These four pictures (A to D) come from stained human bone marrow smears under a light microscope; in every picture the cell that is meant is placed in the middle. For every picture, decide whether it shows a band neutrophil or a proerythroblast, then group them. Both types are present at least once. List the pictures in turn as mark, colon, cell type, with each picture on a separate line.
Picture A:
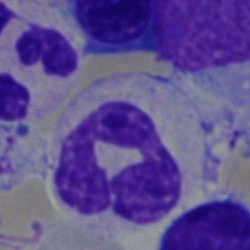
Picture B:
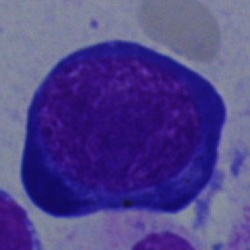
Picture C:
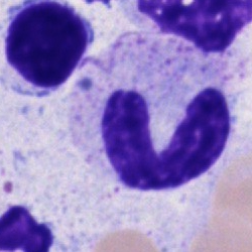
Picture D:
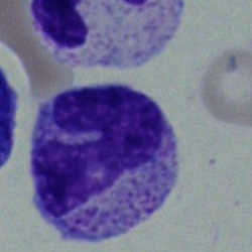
A: band neutrophil
B: proerythroblast
C: band neutrophil
D: band neutrophil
